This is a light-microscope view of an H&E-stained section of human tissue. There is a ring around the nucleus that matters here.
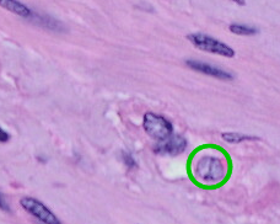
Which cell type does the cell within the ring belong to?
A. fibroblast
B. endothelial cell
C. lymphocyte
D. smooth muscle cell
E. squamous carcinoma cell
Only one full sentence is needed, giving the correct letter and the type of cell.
Looking at the options, pick B; the cell within the ring is an endothelial cell.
